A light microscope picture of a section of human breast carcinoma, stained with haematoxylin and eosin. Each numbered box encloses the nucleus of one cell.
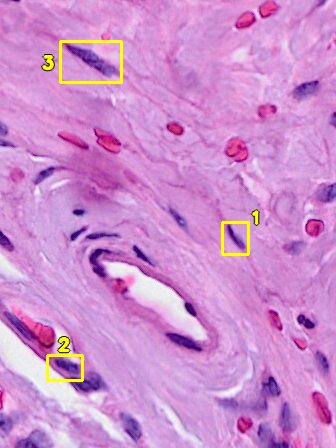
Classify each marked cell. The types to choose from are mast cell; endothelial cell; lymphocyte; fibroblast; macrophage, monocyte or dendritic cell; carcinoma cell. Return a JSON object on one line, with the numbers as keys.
{"1": "fibroblast", "2": "endothelial cell", "3": "fibroblast"}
